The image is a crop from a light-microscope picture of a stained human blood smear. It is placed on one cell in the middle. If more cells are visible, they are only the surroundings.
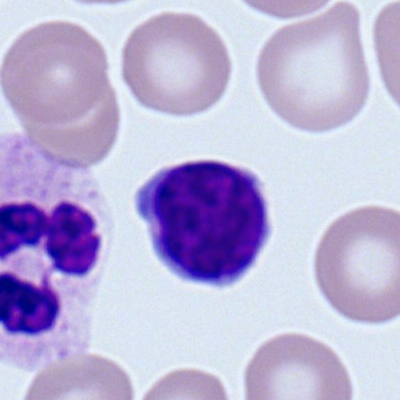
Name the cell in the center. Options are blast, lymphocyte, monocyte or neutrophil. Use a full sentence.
In the crop, the cell of interest at the centre is a lymphocyte.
